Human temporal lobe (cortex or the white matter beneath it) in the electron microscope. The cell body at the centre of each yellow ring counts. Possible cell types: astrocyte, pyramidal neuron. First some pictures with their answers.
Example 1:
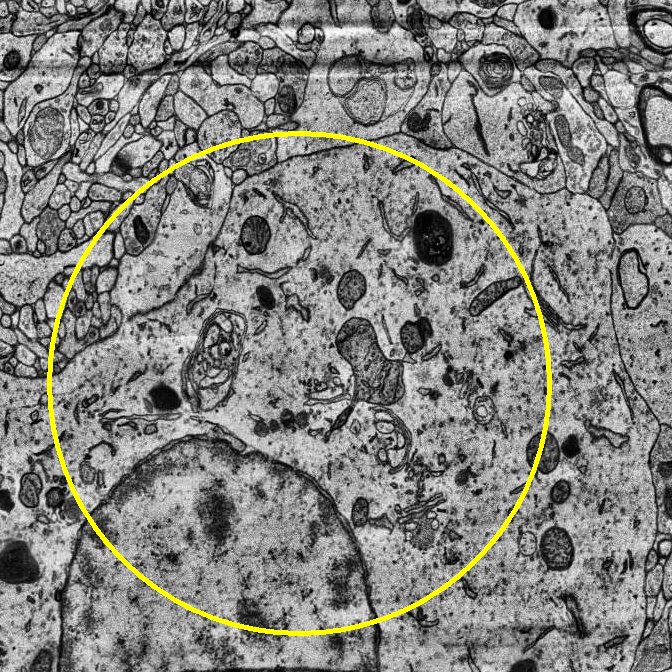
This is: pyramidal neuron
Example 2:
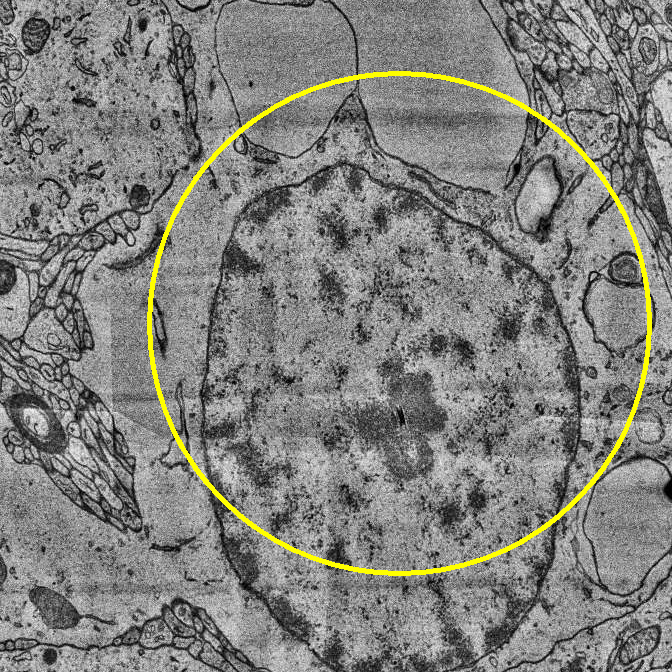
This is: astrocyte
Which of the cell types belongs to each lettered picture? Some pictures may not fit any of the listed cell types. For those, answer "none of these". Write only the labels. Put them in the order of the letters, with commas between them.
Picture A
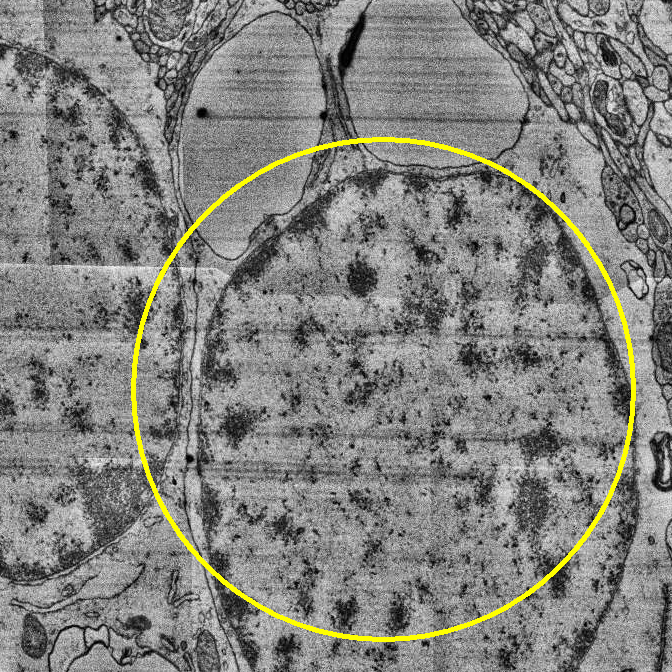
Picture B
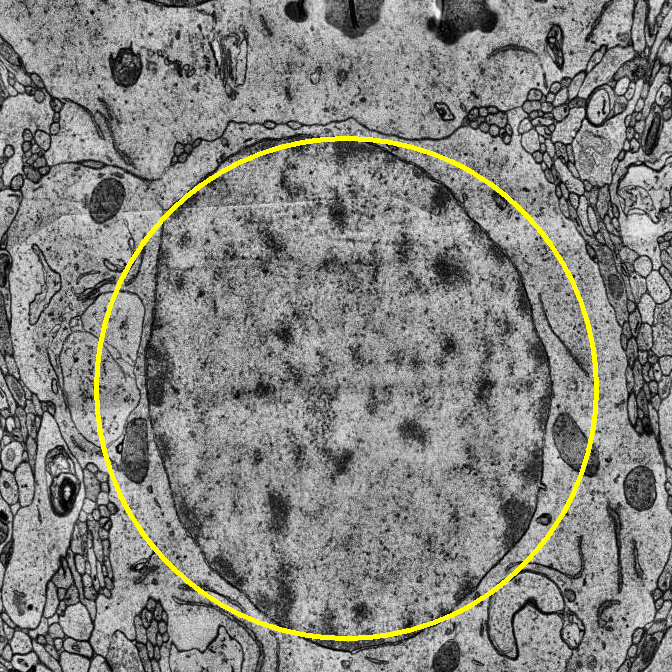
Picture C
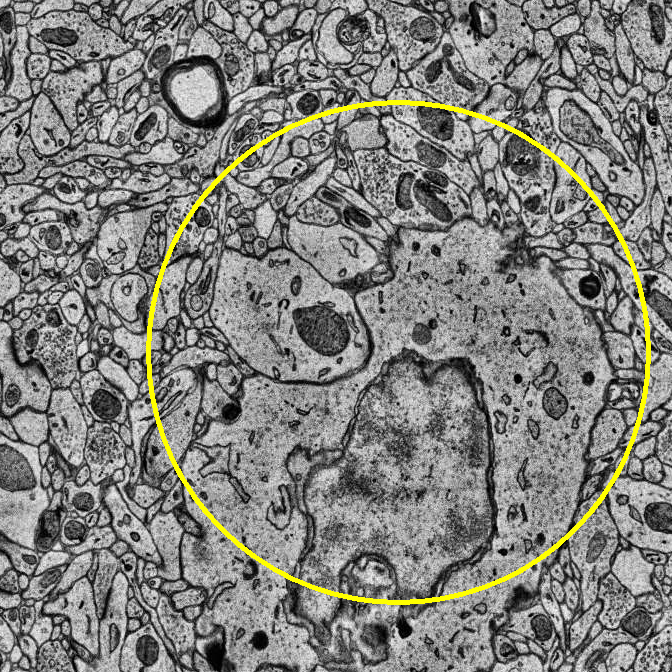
astrocyte, astrocyte, none of these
